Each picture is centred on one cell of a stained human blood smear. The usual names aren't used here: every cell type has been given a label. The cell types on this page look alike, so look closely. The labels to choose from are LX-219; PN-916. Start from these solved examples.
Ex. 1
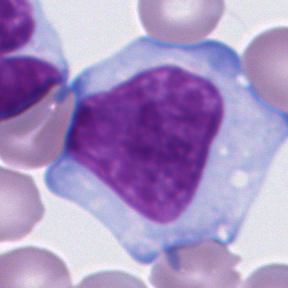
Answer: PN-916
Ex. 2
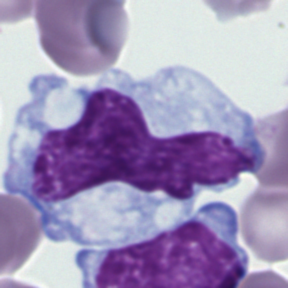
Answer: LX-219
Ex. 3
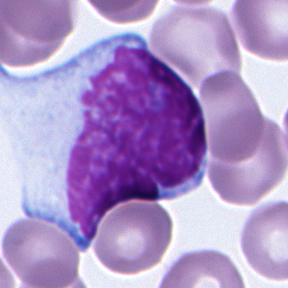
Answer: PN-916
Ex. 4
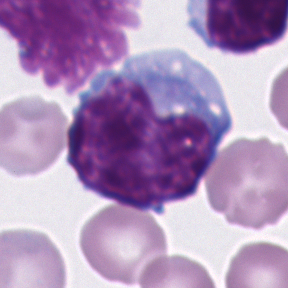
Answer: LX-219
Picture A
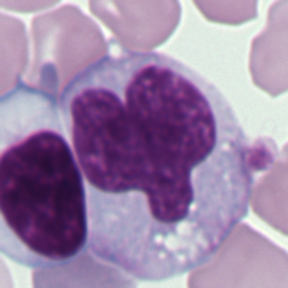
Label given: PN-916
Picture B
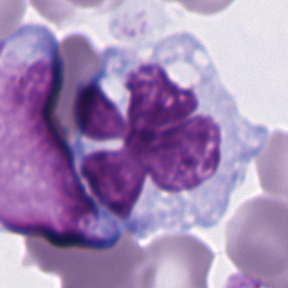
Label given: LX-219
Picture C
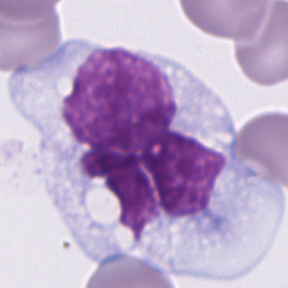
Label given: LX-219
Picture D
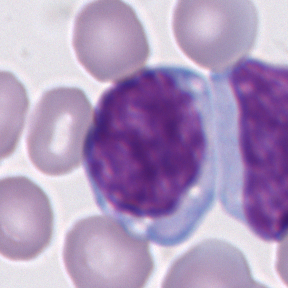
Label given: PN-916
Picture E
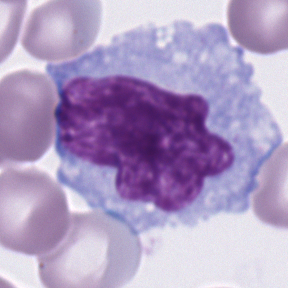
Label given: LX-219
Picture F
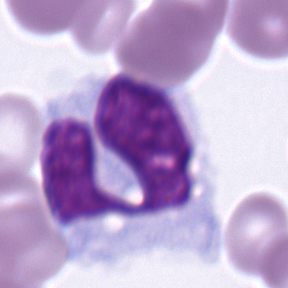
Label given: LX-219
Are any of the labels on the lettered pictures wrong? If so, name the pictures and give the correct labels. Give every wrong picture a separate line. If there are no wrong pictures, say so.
A should be LX-219, not PN-916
